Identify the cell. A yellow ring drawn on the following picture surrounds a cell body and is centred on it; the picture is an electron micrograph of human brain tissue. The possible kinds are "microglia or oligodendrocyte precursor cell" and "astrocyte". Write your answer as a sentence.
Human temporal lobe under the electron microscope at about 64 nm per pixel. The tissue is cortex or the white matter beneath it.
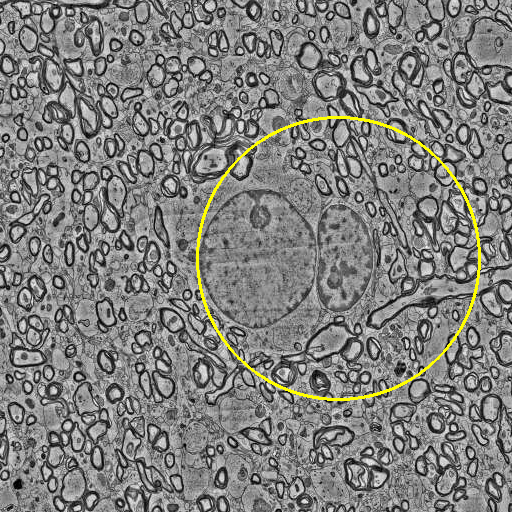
The cell identified by the ring is a microglial cell or oligodendrocyte precursor cell.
